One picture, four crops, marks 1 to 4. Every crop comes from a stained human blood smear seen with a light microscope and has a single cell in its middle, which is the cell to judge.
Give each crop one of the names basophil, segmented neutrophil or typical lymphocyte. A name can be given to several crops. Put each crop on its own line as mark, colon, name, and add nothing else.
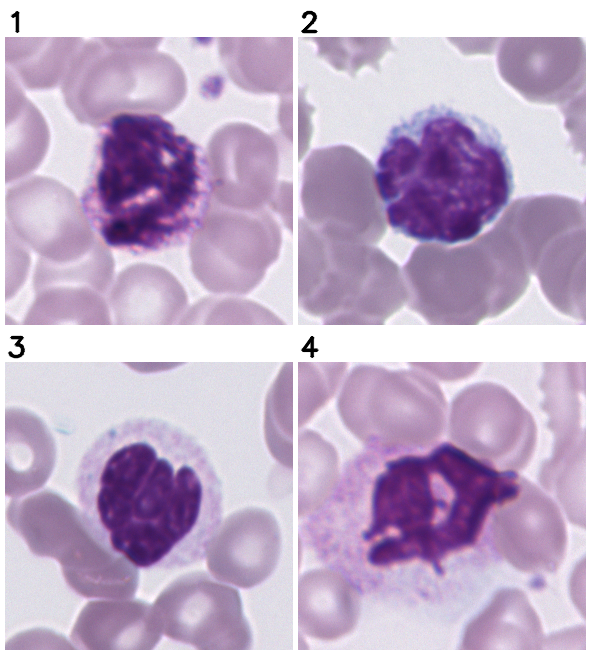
1: basophil
2: typical lymphocyte
3: segmented neutrophil
4: segmented neutrophil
